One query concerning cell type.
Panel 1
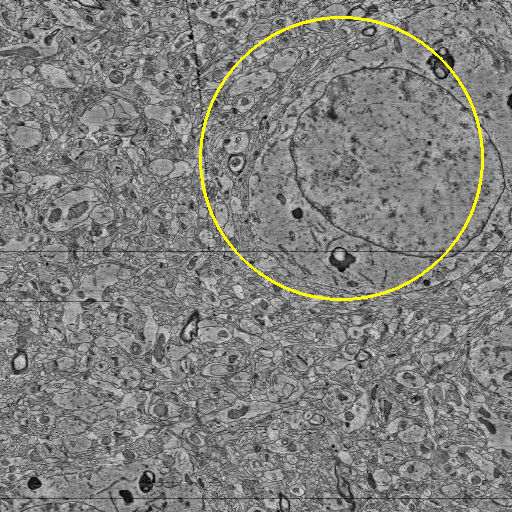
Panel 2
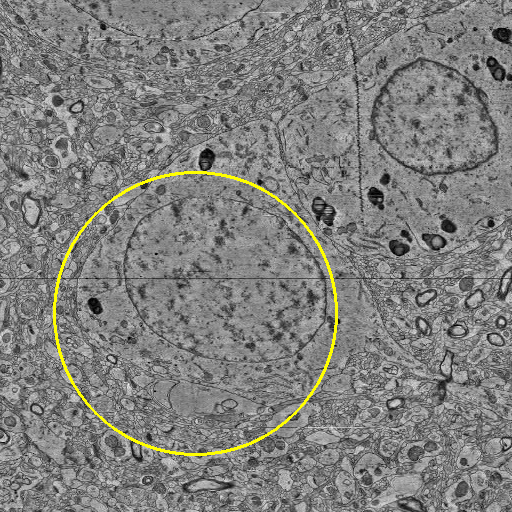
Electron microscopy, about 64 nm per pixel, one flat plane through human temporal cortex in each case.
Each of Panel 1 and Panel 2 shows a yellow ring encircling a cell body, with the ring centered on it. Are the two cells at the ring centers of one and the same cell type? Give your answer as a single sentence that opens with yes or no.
Yes, the cell centered in Panel 1 and the one in Panel 2 share a type.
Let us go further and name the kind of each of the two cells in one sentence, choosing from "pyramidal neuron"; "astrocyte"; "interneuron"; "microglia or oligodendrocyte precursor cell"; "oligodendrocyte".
The first and the second cell are each a pyramidal neuron.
